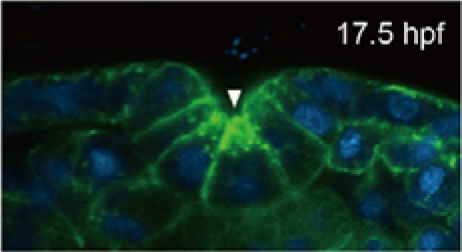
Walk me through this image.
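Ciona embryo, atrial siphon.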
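The central cell is wedge-shaped, its apex pinched to a narrow point where green is brightest, while its base is broad. The neighbouring cells lean toward this point so that their green borders fan out from it. Blue nuclei sit deeper in the cells, away from the constricted surface.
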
